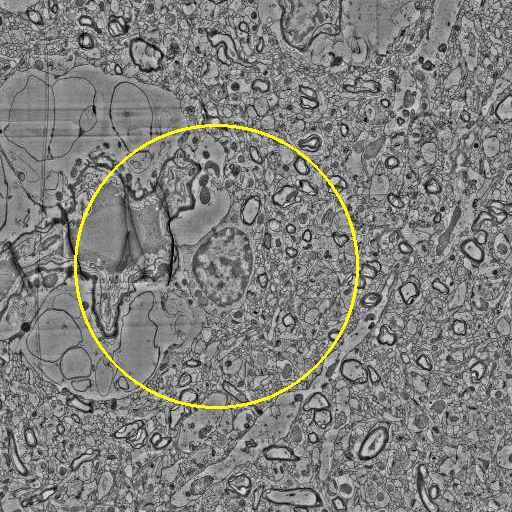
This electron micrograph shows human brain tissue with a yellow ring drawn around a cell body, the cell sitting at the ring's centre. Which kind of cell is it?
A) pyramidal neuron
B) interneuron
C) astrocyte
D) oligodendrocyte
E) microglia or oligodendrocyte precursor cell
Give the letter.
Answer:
D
